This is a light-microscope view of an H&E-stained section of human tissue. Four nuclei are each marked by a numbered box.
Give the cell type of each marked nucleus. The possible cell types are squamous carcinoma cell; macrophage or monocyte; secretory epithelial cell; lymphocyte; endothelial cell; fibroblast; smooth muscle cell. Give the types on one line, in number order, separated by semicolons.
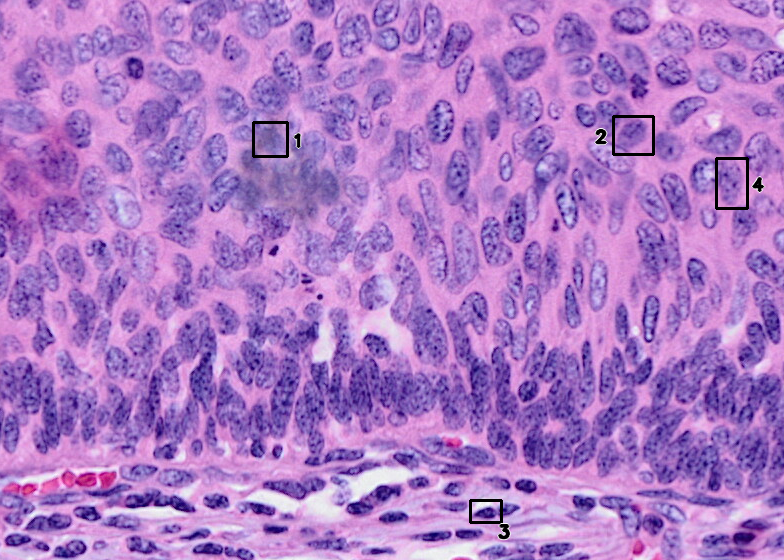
squamous carcinoma cell; squamous carcinoma cell; lymphocyte; squamous carcinoma cell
